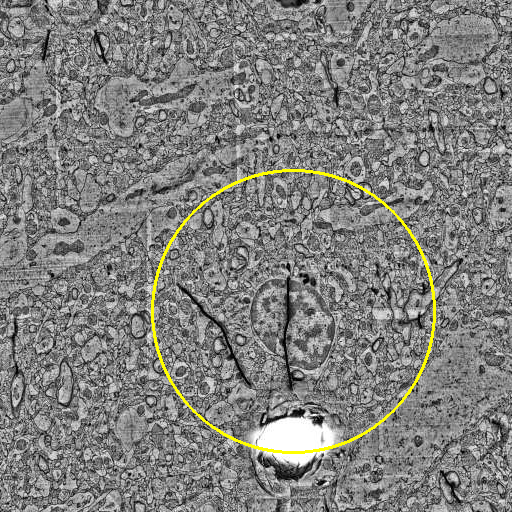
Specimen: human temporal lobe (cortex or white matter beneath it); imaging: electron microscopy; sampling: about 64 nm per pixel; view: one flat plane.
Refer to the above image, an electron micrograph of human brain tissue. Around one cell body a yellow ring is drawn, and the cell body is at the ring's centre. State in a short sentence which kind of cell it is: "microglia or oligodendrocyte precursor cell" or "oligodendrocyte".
The centre of the ring falls on a microglial cell or oligodendrocyte precursor cell.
